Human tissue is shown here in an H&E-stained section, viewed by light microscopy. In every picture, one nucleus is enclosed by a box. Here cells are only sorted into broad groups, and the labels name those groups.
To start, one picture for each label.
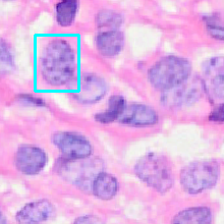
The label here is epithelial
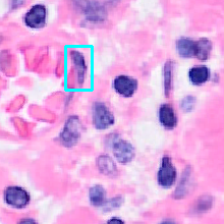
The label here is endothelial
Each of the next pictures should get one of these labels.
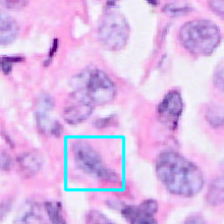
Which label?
endothelial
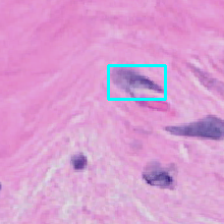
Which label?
endothelial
